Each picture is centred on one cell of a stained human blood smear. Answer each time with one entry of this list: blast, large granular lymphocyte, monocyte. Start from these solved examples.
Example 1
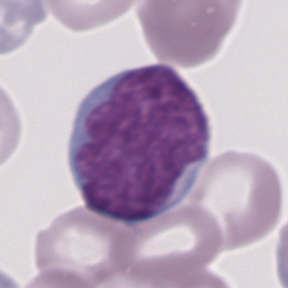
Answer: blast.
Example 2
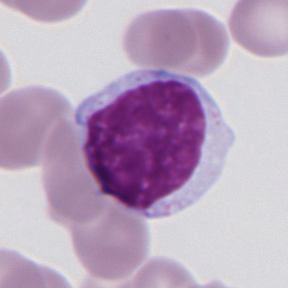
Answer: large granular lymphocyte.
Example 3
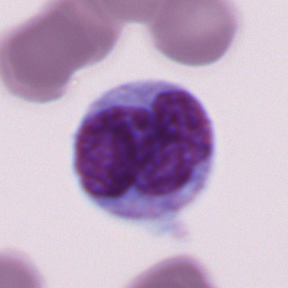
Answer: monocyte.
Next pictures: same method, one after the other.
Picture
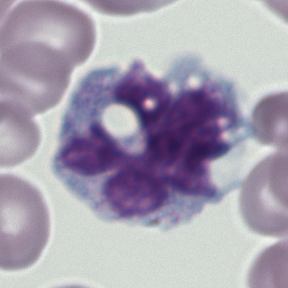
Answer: monocyte.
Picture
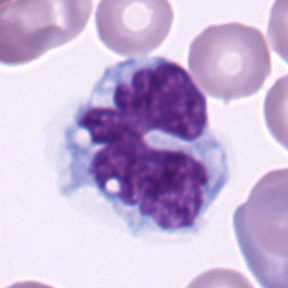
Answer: monocyte.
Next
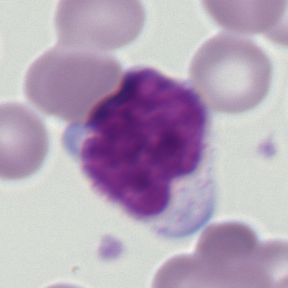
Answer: large granular lymphocyte.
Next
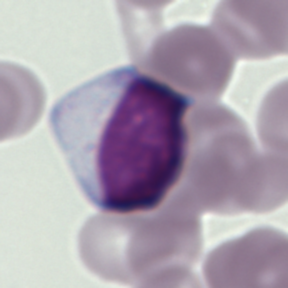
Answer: large granular lymphocyte.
